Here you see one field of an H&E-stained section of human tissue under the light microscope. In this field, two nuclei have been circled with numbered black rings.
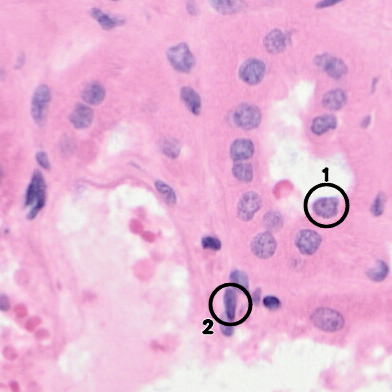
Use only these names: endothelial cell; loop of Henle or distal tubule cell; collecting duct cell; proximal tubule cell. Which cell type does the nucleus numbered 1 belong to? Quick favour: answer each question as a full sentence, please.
Nucleus 1 in this section belongs to a loop of Henle or distal tubule cell.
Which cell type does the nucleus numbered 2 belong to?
The one labeled 2 is an endothelial cell, to put it simply.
